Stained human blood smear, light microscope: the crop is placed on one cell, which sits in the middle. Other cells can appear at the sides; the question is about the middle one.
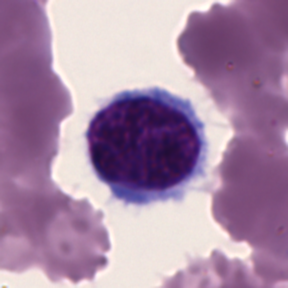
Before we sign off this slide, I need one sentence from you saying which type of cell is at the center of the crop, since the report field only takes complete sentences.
Seen at the centre of the crop is a hairy cell.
